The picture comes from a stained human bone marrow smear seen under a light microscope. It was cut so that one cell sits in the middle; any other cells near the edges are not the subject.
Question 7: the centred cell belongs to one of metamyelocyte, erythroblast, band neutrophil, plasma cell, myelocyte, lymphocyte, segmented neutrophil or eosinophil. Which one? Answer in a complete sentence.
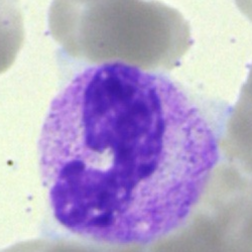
In this smear crop, the middle cell is a segmented neutrophil.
